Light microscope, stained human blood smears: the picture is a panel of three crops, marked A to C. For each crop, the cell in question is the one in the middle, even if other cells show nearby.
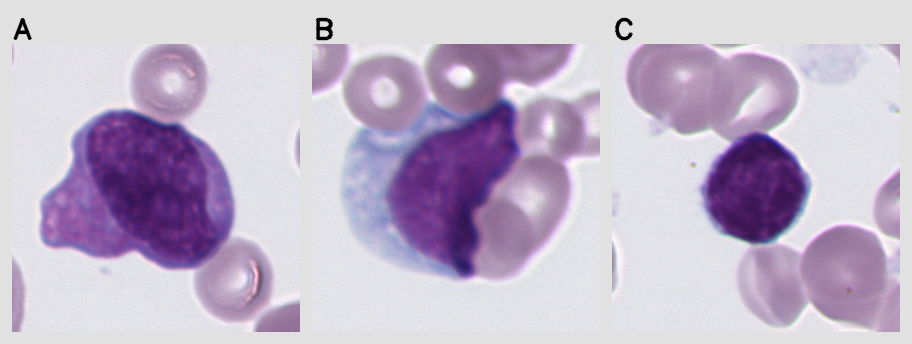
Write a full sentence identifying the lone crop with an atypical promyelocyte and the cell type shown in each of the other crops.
Crop A is identified as an atypical promyelocyte, whereas crop B is a myeloblast and crop C is a typical lymphocyte.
